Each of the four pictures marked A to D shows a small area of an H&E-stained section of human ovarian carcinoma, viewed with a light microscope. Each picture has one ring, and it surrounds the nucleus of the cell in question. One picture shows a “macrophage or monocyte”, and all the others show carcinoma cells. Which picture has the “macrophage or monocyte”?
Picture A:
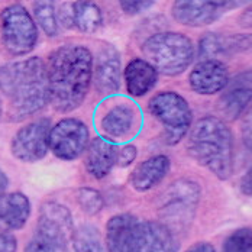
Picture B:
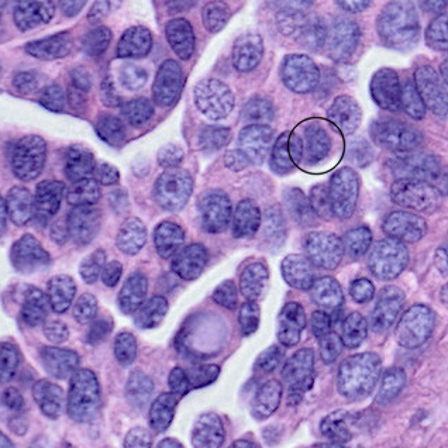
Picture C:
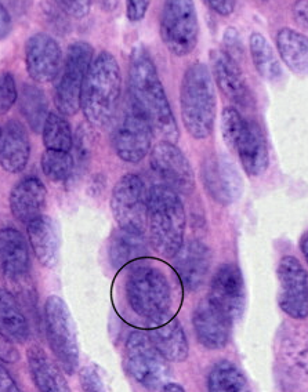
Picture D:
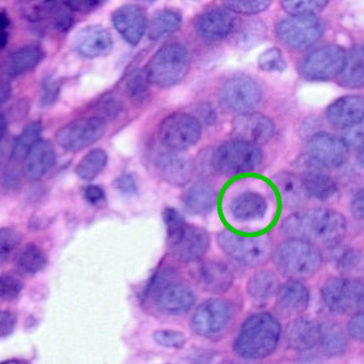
D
